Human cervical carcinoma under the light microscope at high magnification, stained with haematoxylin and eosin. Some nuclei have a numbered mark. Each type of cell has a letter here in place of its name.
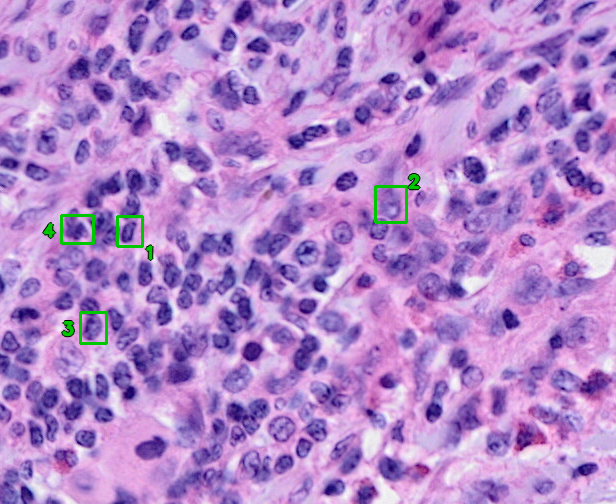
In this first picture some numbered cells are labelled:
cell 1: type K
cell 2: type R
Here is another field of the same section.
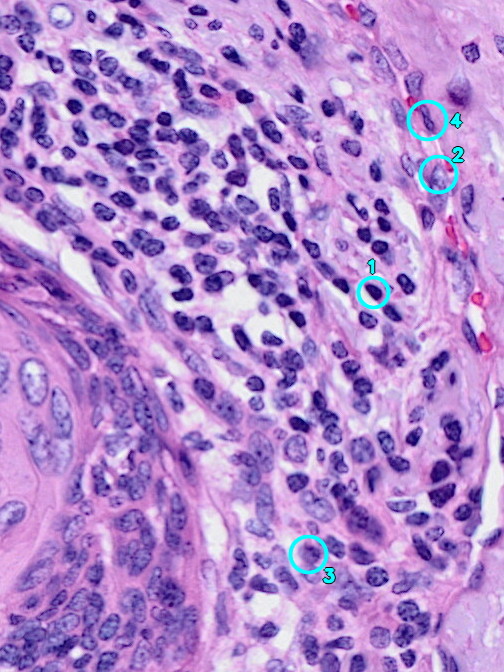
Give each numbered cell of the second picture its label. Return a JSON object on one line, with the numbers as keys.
{"1": "type K", "2": "type R", "3": "type K", "4": "type R"}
